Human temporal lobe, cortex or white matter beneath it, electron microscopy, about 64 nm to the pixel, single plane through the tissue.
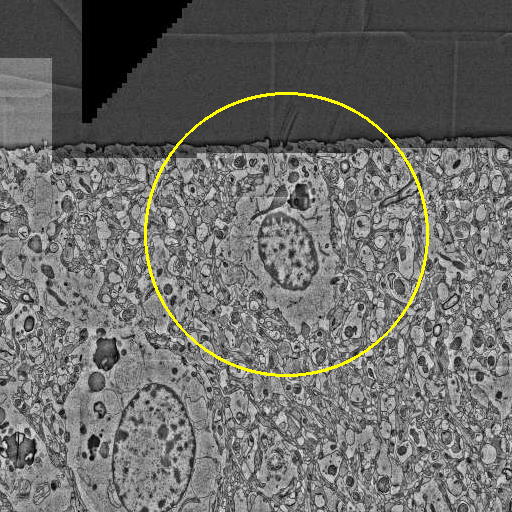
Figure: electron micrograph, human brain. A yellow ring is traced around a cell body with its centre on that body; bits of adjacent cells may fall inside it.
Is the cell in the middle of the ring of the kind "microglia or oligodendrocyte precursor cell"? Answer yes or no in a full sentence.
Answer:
No, another kind applies to the cell centred within the yellow ring of the picture.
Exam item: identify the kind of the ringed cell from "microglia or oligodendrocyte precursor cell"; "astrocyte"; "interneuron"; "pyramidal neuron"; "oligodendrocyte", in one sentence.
Sitting at the ring centre is an astrocyte.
